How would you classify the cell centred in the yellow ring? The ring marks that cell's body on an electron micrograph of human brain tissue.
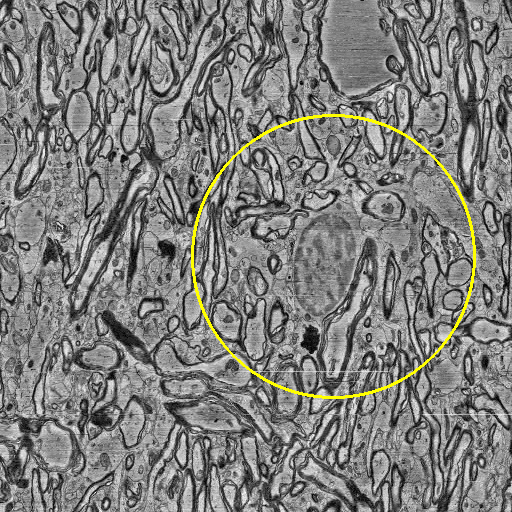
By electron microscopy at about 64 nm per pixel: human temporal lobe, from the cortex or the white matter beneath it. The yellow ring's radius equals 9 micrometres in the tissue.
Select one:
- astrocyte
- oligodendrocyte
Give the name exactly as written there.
oligodendrocyte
